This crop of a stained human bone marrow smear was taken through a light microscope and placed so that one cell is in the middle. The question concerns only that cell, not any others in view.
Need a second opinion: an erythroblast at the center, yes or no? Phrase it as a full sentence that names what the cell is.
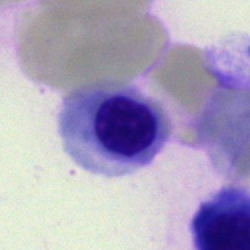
Yes, the cell in the middle is rightly called an erythroblast.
